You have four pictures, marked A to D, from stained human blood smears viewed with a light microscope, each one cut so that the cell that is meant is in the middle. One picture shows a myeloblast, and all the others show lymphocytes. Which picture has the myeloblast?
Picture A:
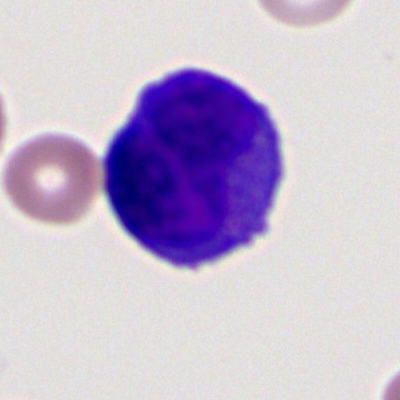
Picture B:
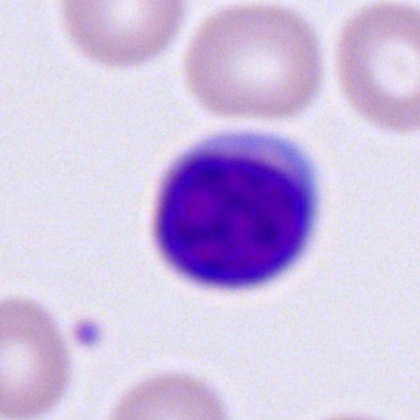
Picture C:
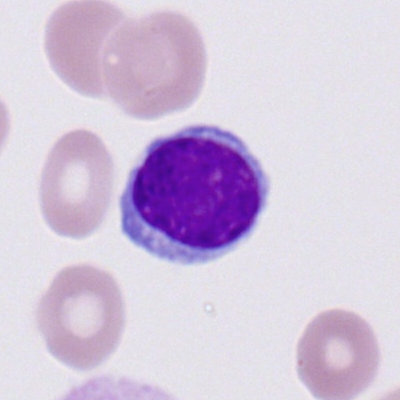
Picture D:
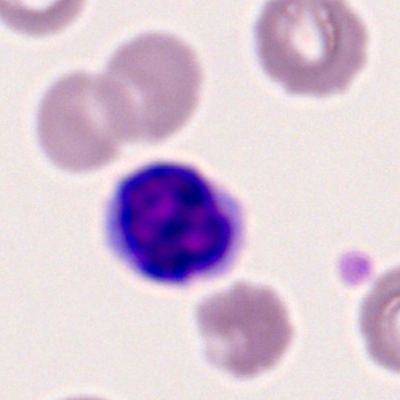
A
